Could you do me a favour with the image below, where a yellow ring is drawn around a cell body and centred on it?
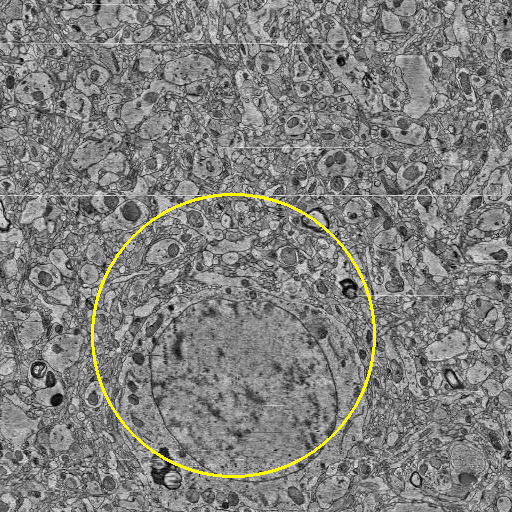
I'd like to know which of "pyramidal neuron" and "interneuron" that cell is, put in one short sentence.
The cell at the ring's centre is a pyramidal neuron.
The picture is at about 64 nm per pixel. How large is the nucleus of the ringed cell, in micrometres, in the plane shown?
The nucleus appears about 12 micrometres across in this plane.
